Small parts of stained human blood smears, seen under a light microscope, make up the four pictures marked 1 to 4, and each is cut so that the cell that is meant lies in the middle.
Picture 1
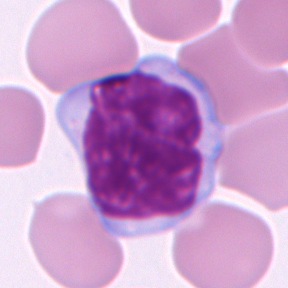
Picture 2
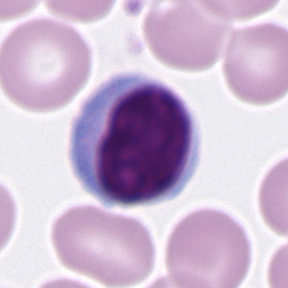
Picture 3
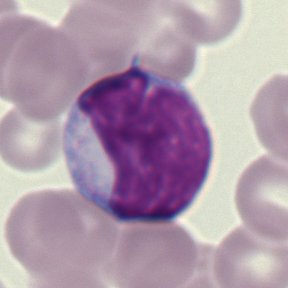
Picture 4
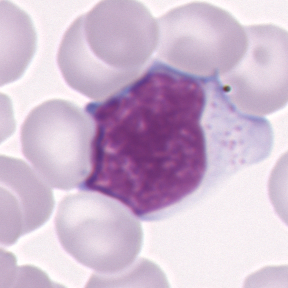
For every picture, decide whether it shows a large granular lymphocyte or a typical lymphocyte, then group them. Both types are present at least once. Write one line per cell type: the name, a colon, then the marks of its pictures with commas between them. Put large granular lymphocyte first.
large granular lymphocyte: 3, 4
typical lymphocyte: 1, 2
